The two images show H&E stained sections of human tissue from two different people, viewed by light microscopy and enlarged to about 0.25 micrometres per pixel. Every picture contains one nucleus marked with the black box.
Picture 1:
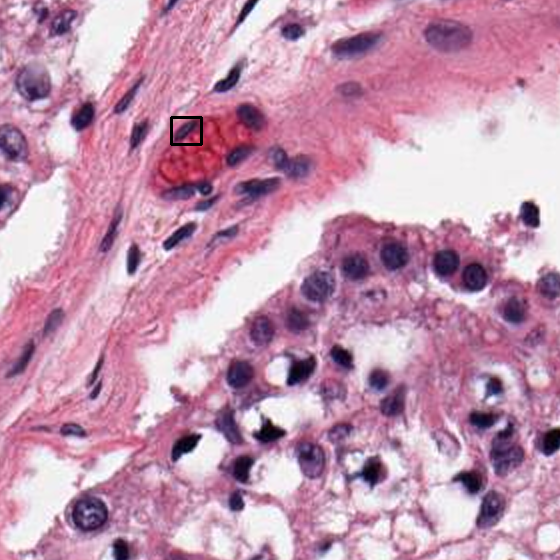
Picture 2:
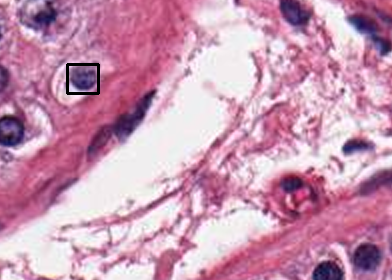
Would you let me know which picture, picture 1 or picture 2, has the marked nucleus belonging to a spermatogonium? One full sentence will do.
A marked nucleus of a spermatogonium is present in picture 2 but absent from the other picture.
